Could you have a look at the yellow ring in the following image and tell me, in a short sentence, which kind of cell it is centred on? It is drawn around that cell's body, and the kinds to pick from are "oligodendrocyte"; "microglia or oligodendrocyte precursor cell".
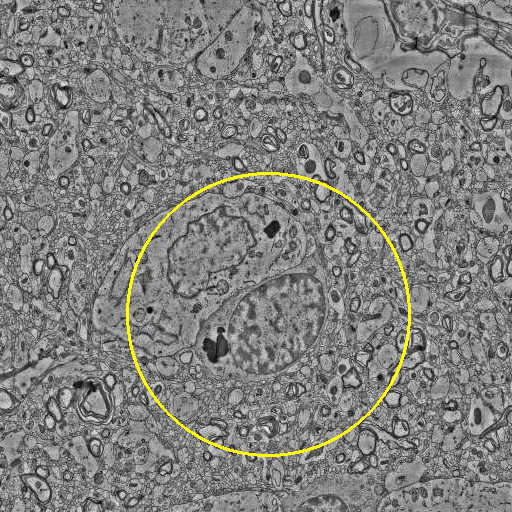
The ring is centred on the body of an oligodendrocyte.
